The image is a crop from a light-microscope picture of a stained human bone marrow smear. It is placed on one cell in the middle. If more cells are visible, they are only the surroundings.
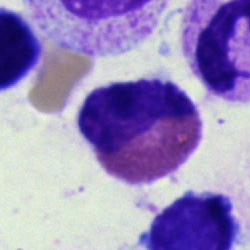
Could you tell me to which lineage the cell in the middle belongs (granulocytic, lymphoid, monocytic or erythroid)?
granulocytic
